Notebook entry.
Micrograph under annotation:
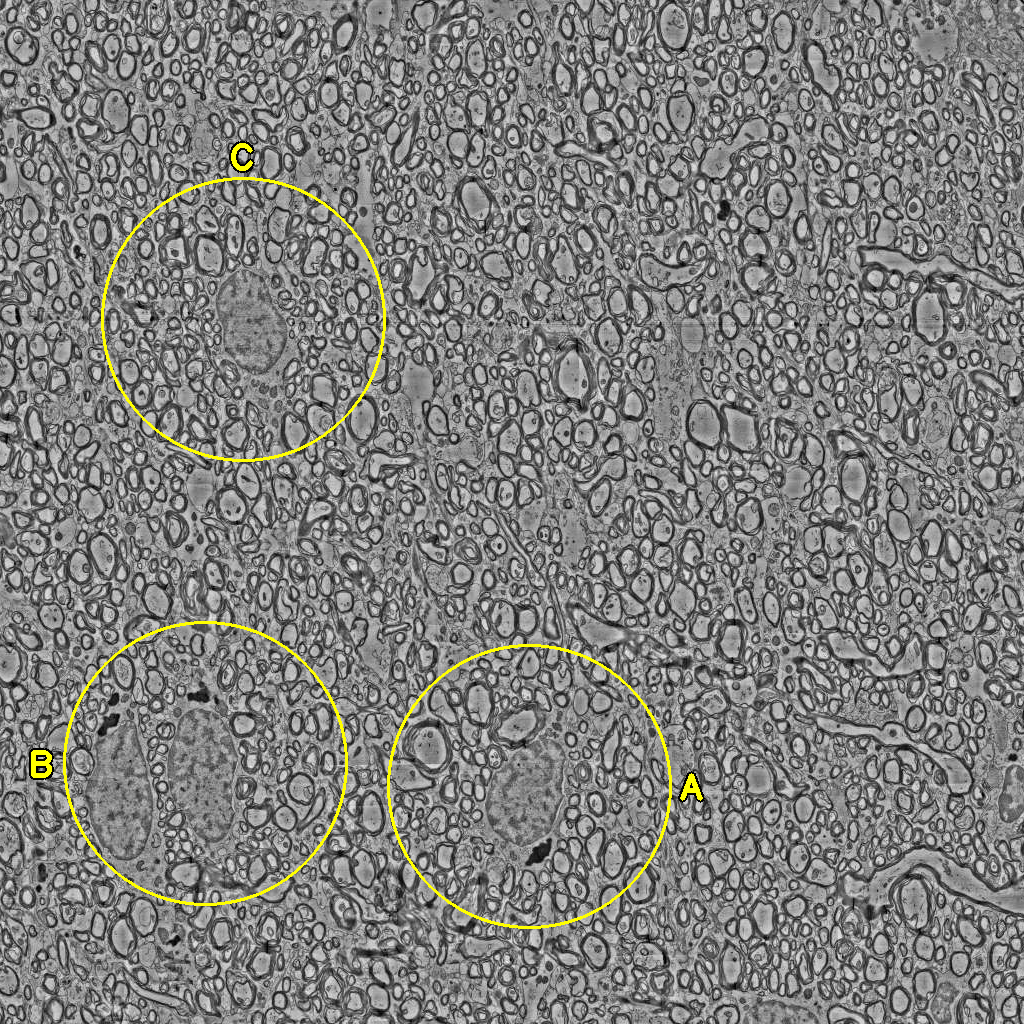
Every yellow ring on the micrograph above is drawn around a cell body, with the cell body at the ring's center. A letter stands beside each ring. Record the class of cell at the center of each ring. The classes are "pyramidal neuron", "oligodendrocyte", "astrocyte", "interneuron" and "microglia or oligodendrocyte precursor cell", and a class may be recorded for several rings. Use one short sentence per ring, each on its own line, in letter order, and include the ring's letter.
Ring A is centered on an oligodendrocyte.
Ring B is centered on an oligodendrocyte.
Ring C is centered on an oligodendrocyte.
